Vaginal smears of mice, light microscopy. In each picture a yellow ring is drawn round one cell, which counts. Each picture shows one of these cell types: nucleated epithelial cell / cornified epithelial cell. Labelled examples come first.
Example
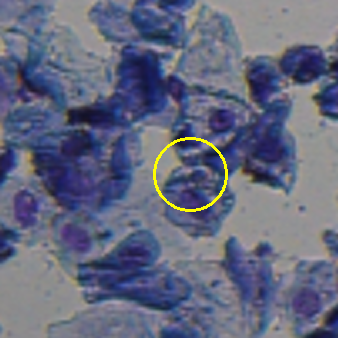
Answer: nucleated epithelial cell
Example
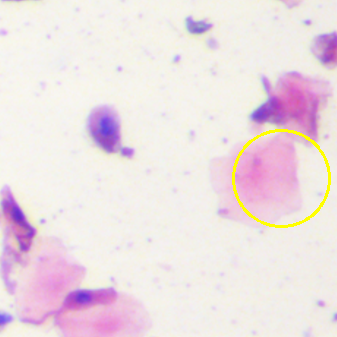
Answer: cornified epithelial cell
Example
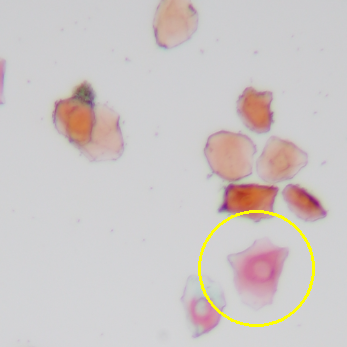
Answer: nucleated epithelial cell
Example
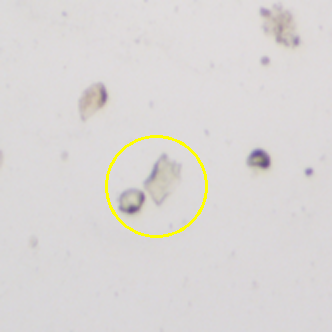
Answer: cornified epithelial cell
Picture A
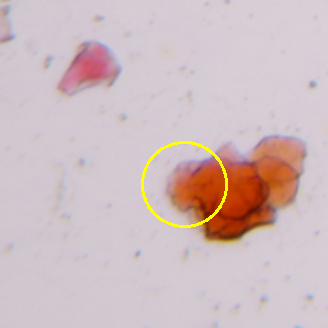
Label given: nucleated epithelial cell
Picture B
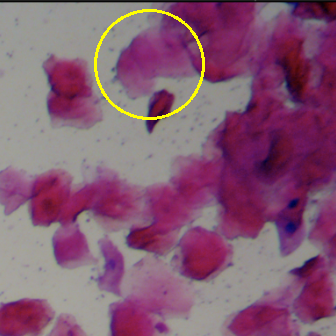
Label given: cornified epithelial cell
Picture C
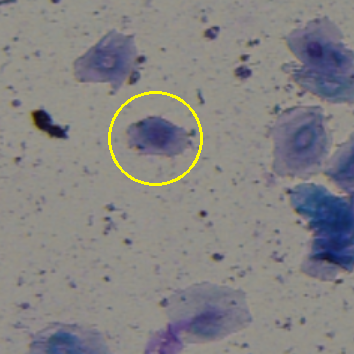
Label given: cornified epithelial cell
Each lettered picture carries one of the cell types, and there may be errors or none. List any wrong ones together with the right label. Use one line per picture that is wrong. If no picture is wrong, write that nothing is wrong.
A should be cornified epithelial cell, not nucleated epithelial cell
C should be nucleated epithelial cell, not cornified epithelial cell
